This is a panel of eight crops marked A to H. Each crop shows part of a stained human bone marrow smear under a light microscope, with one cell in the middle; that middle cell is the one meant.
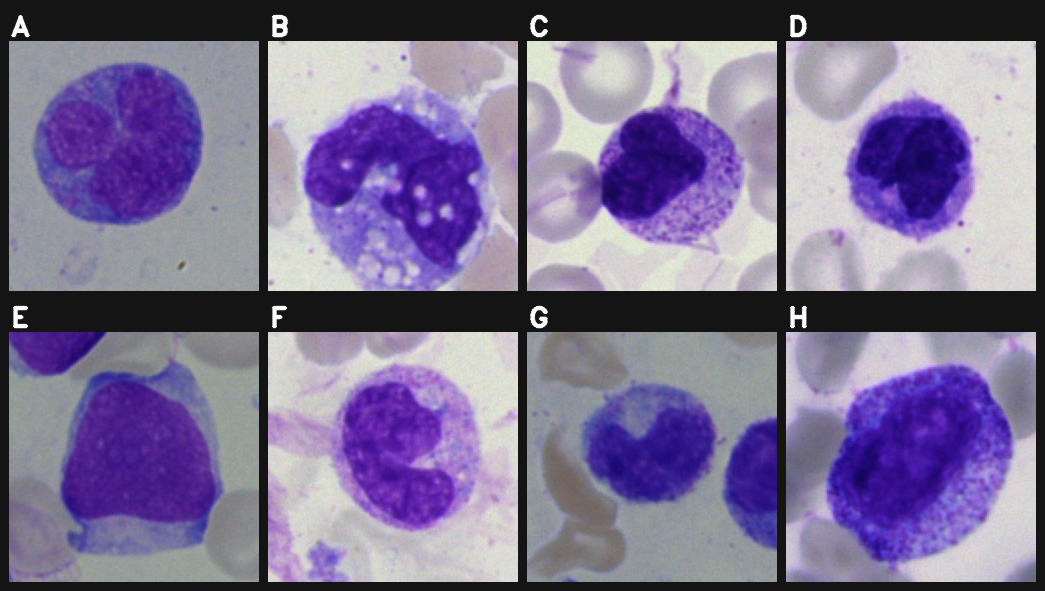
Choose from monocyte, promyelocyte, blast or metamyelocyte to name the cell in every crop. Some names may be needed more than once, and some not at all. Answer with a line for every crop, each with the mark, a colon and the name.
A: monocyte
B: monocyte
C: metamyelocyte
D: monocyte
E: blast
F: monocyte
G: metamyelocyte
H: promyelocyte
